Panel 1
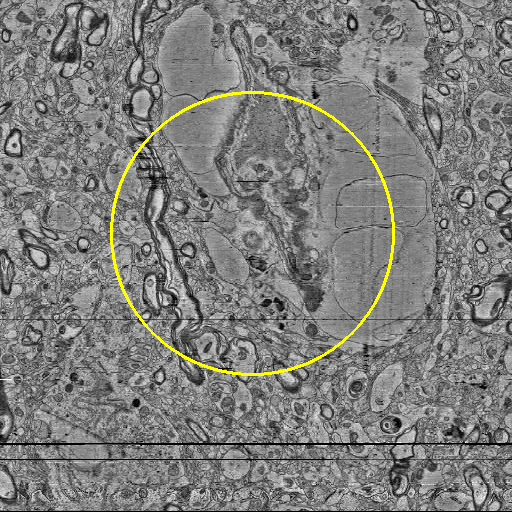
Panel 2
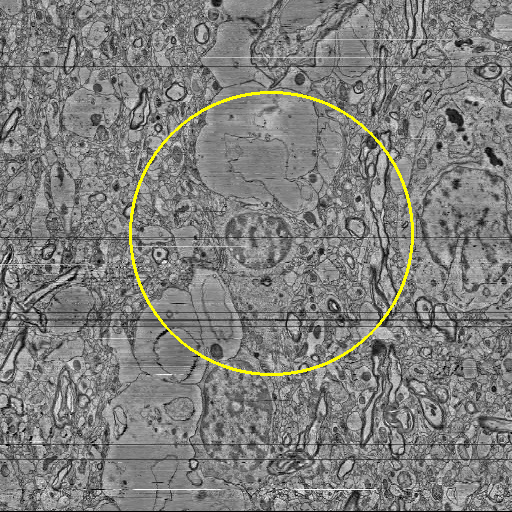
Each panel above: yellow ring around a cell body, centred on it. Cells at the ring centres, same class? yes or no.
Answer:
no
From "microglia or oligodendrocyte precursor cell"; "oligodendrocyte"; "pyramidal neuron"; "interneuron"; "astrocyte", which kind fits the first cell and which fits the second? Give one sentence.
The cell marked in the first picture is a microglial cell or oligodendrocyte precursor cell, and the one marked in the second is an oligodendrocyte.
